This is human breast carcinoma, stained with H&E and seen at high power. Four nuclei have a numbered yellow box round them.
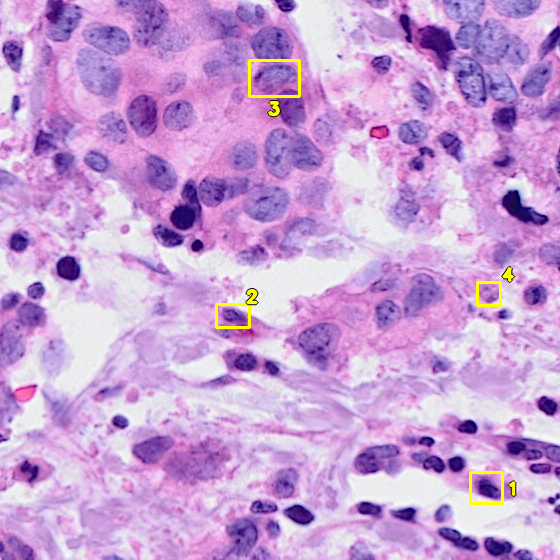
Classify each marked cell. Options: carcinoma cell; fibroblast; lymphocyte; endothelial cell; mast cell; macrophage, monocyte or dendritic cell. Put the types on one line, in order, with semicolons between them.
lymphocyte; endothelial cell; carcinoma cell; macrophage, monocyte or dendritic cell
